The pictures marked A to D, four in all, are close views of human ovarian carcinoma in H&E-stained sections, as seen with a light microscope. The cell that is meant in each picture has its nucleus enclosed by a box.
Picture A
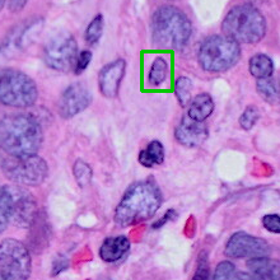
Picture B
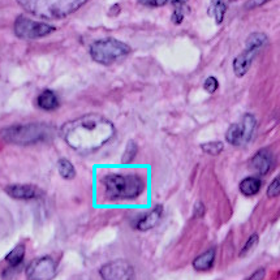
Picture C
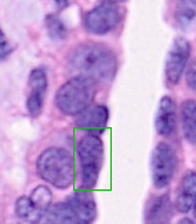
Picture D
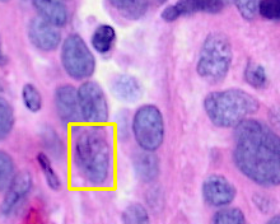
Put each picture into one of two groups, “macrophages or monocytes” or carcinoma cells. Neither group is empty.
A: macrophage or monocyte
B: macrophage or monocyte
C: carcinoma cell
D: carcinoma cell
